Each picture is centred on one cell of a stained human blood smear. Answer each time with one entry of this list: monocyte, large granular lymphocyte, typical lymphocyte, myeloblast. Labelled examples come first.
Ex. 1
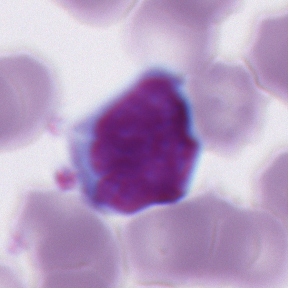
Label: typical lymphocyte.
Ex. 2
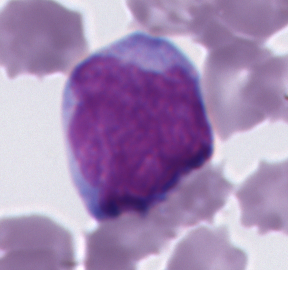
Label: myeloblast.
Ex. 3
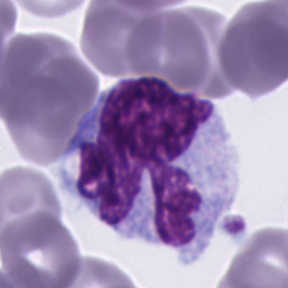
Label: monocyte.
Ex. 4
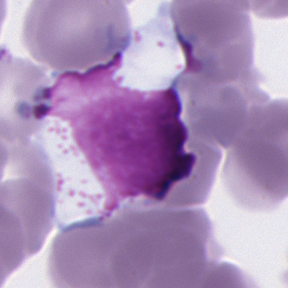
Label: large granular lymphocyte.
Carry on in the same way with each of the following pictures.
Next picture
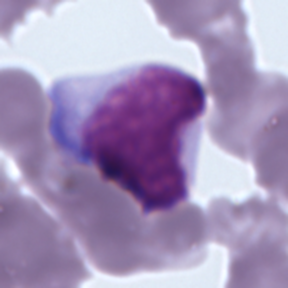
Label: myeloblast.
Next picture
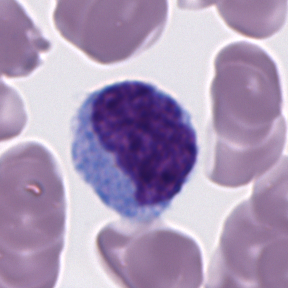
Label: monocyte.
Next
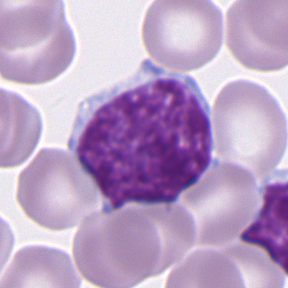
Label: typical lymphocyte.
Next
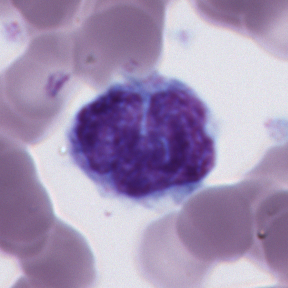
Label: monocyte.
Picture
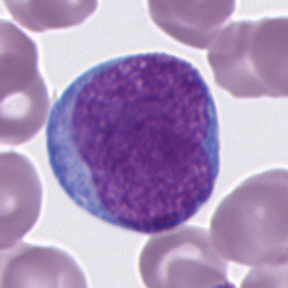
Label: myeloblast.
